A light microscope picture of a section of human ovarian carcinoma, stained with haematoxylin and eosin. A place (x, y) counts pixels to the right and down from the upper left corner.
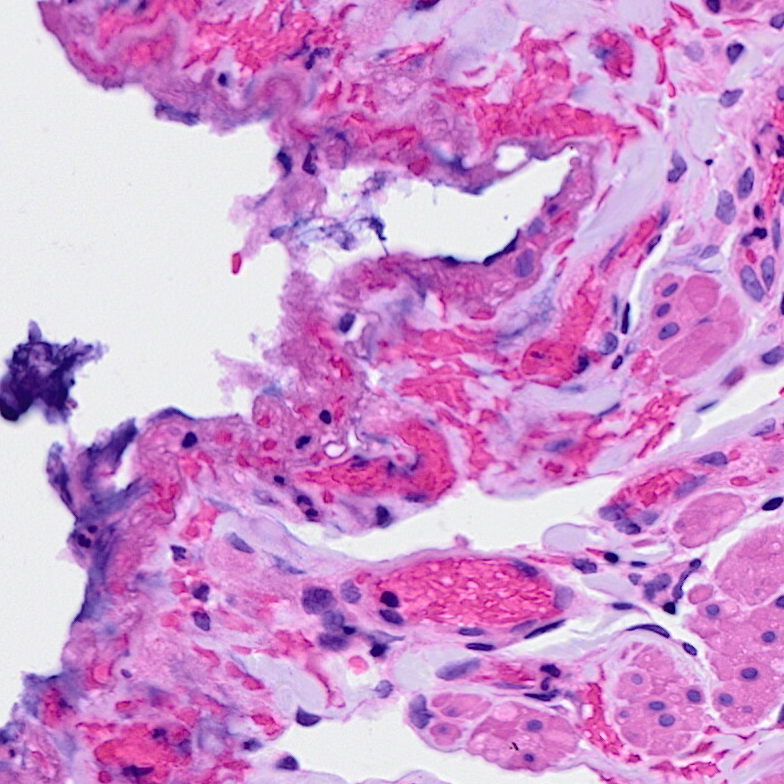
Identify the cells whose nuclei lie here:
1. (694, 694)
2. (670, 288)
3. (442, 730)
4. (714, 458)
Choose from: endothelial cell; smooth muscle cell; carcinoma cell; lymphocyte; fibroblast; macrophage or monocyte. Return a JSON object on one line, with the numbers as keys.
{"1": "smooth muscle cell", "2": "smooth muscle cell", "3": "smooth muscle cell", "4": "endothelial cell"}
